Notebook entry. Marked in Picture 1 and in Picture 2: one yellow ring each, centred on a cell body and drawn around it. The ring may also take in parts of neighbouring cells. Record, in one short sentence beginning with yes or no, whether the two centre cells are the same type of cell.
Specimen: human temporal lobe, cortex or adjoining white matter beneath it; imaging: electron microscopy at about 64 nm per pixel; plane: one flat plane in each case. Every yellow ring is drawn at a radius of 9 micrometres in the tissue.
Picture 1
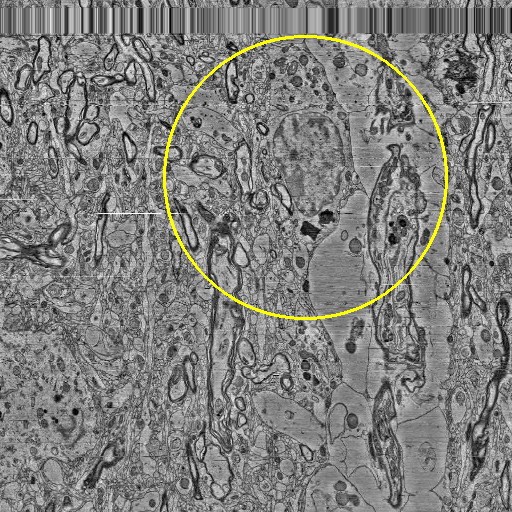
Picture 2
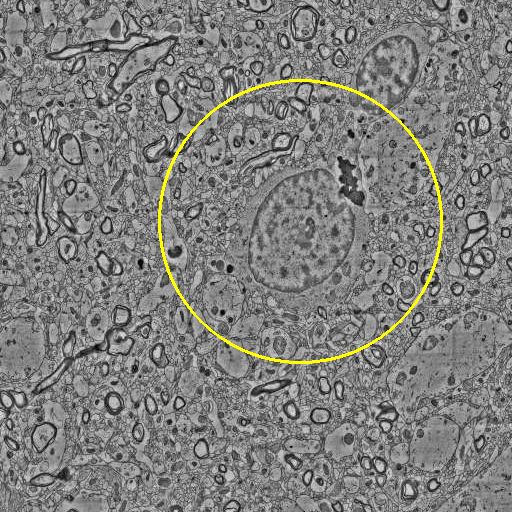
Yes, both are the same type of cell.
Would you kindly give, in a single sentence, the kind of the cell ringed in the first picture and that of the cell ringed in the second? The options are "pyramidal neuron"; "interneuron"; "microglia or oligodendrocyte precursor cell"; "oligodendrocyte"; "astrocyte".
In both pictures the ring is centred on an oligodendrocyte.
